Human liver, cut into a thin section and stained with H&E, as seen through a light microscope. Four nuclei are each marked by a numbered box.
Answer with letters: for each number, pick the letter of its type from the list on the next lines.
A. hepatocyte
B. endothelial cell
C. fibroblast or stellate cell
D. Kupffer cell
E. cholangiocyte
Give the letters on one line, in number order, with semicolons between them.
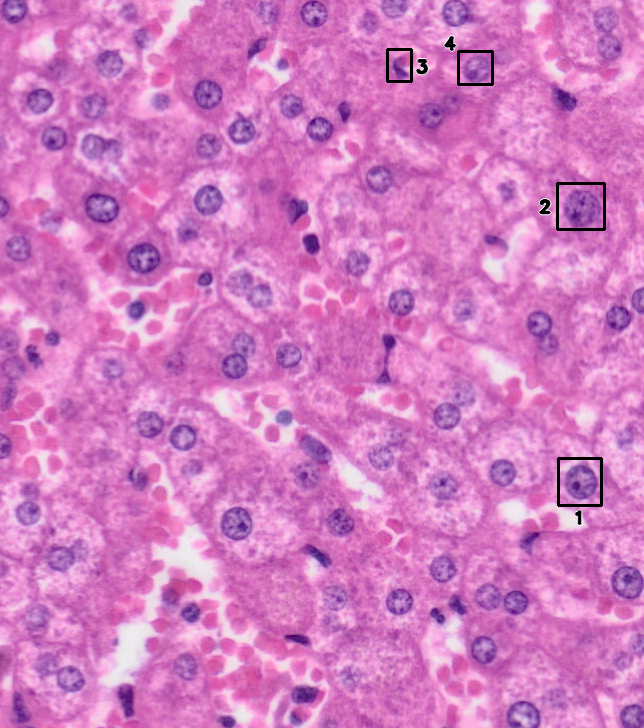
A; A; B; A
